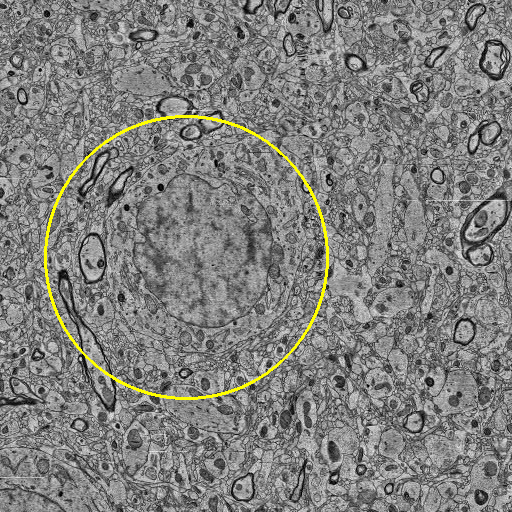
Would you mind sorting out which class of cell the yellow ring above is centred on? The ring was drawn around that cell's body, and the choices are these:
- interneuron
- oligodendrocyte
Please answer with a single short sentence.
This is the cell body of an interneuron.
